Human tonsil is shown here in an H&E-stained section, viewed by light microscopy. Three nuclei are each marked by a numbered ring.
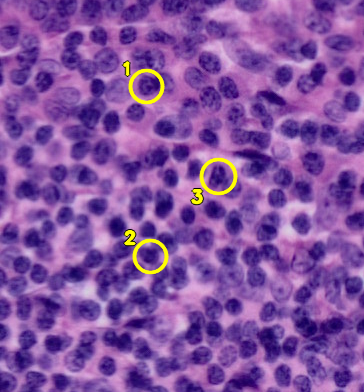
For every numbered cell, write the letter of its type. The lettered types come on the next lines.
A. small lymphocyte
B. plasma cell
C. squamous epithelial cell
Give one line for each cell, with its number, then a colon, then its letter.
1: B
2: A
3: B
